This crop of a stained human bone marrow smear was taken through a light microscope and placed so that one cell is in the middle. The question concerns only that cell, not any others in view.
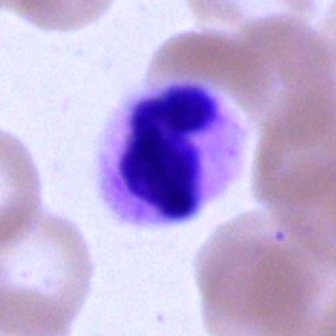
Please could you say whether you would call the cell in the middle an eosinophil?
no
